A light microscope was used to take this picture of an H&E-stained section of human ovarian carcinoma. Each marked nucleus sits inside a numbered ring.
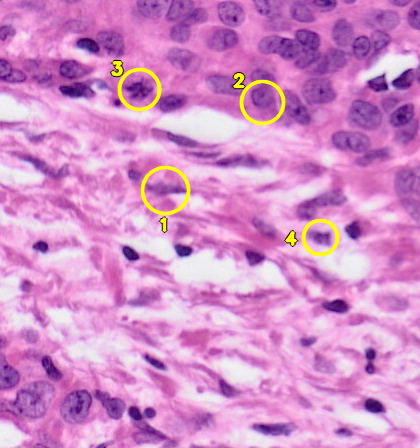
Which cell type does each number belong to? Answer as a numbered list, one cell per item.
1. fibroblast
2. carcinoma cell
3. macrophage or monocyte
4. fibroblast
